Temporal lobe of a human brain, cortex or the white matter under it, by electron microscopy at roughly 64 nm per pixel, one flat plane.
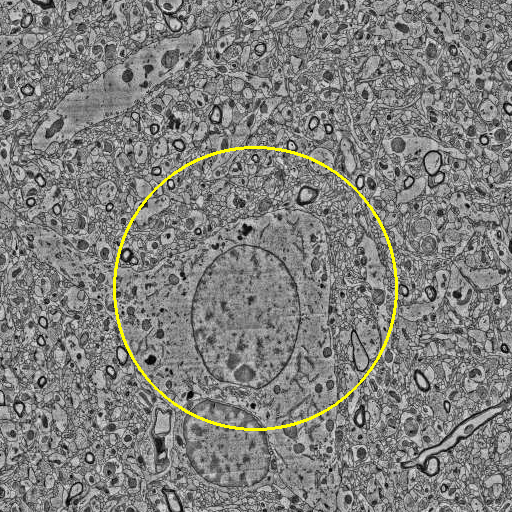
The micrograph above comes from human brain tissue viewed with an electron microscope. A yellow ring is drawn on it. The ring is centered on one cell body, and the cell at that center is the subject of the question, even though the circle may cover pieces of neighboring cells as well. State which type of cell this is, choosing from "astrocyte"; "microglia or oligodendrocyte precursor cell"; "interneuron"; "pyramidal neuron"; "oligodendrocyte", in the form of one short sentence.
The cell the ring is centered on is a pyramidal neuron.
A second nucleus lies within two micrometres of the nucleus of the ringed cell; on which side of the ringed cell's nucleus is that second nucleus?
That nucleus lies below it.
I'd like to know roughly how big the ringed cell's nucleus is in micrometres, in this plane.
The nucleus measures about 10 by 7 micrometres in this plane.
